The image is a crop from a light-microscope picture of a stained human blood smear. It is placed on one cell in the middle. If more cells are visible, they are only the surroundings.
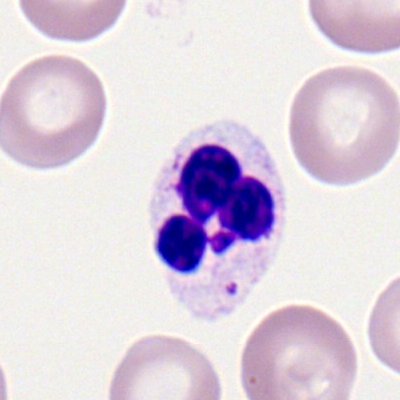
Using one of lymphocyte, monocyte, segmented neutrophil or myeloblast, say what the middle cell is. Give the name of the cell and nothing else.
segmented neutrophil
